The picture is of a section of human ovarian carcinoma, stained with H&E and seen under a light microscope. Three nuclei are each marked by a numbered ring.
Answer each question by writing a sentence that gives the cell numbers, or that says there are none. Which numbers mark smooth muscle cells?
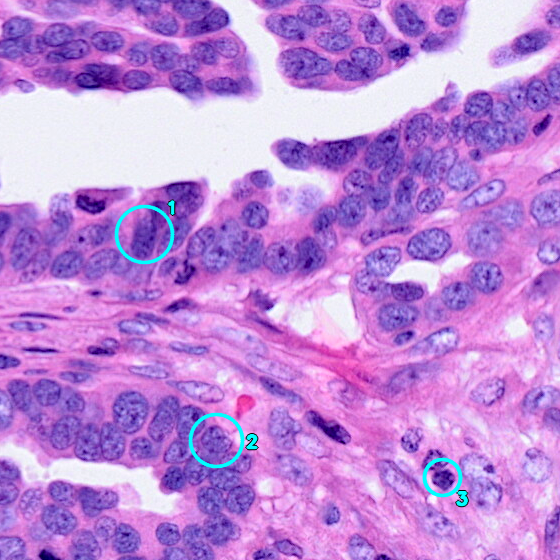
Sorry, but none of the numbered cells are smooth muscle cells.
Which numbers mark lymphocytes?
Cell 3 is a lymphocyte, while all remaining marked cells are of other types.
